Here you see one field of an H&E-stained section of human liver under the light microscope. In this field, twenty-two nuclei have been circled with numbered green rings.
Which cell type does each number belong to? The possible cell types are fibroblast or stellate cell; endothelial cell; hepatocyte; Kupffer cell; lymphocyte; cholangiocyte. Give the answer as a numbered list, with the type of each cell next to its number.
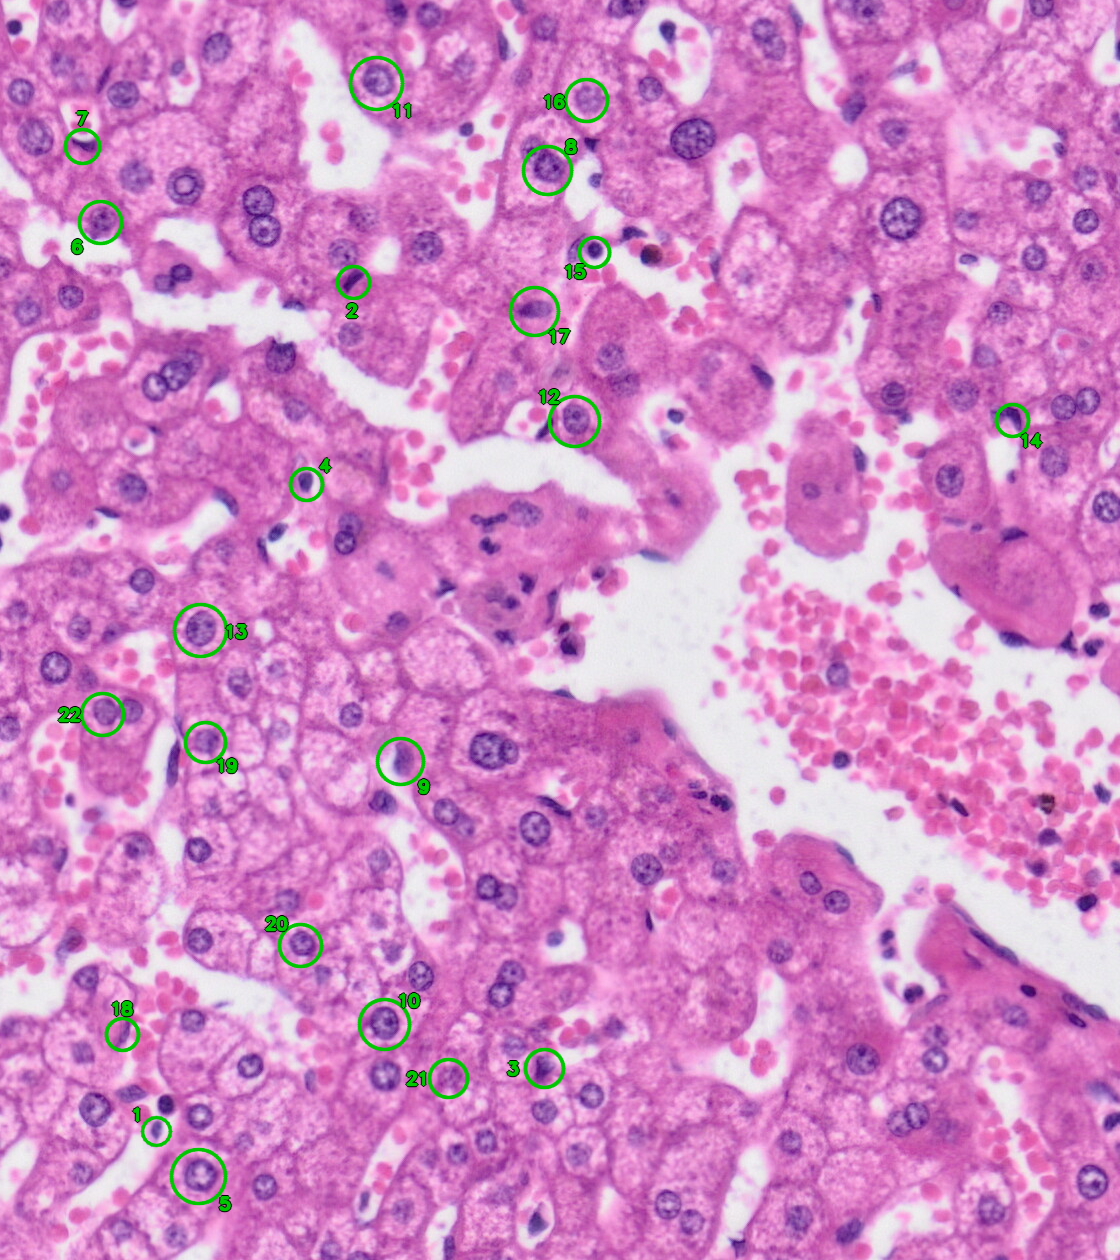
1. lymphocyte
2. fibroblast or stellate cell
3. fibroblast or stellate cell
4. lymphocyte
5. hepatocyte
6. hepatocyte
7. endothelial cell
8. hepatocyte
9. endothelial cell
10. hepatocyte
11. hepatocyte
12. hepatocyte
13. hepatocyte
14. fibroblast or stellate cell
15. lymphocyte
16. hepatocyte
17. Kupffer cell
18. endothelial cell
19. hepatocyte
20. hepatocyte
21. hepatocyte
22. hepatocyte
